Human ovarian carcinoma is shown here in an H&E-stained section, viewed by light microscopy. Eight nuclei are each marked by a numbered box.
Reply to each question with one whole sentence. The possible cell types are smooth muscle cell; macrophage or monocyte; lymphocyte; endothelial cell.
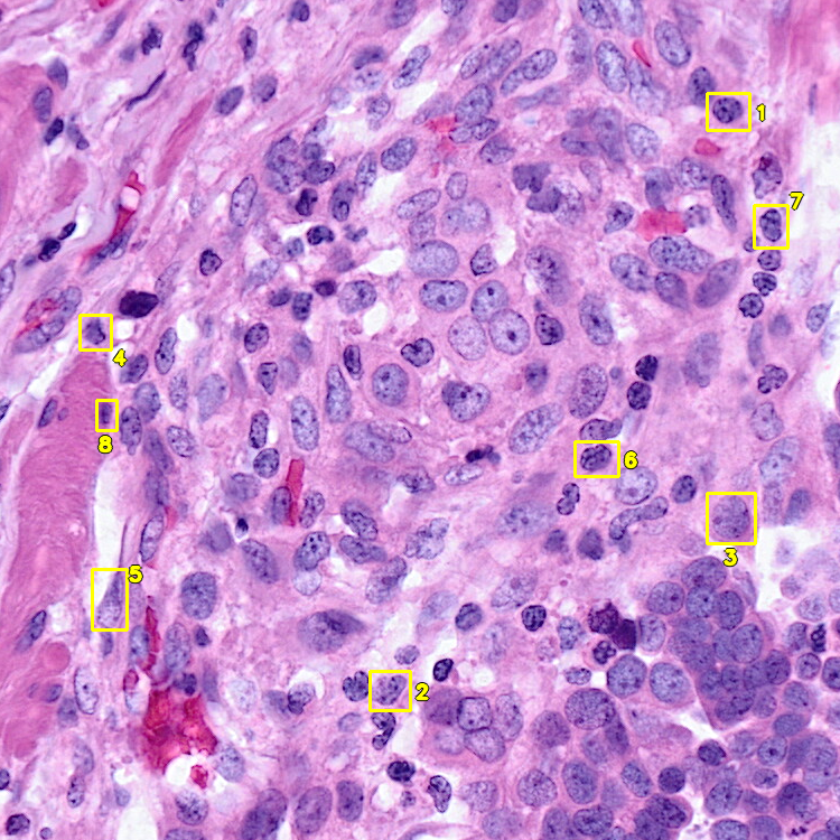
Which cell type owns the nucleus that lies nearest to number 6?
Number 6 lies closest to the nucleus of a macrophage or monocyte.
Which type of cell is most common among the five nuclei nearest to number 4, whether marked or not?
Endothelial cells make up most of the five nuclei closest to number 4.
